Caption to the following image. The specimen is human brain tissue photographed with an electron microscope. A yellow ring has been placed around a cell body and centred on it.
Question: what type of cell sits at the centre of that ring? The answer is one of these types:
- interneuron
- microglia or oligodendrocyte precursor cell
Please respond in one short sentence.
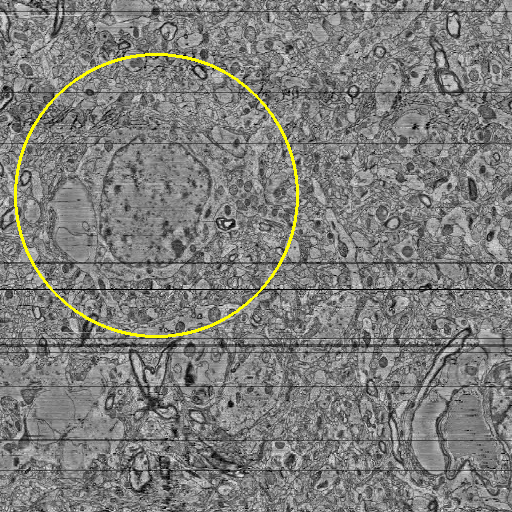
The ring surrounds the cell body of an interneuron.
